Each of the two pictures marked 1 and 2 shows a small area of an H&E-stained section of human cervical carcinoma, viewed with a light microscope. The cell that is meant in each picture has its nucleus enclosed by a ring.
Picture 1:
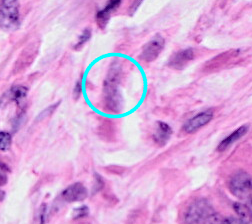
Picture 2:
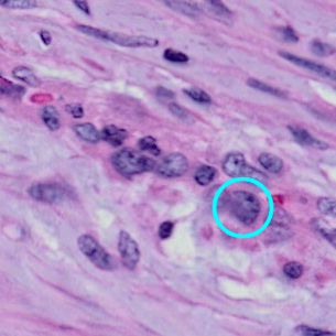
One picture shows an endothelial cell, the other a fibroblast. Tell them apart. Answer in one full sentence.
The cell in picture 1 is a fibroblast, and the one in picture 2 is an endothelial cell.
